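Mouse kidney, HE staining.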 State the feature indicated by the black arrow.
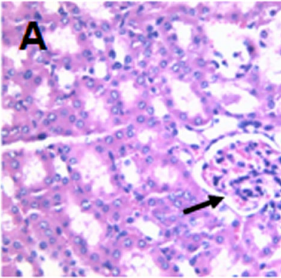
glomerulus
